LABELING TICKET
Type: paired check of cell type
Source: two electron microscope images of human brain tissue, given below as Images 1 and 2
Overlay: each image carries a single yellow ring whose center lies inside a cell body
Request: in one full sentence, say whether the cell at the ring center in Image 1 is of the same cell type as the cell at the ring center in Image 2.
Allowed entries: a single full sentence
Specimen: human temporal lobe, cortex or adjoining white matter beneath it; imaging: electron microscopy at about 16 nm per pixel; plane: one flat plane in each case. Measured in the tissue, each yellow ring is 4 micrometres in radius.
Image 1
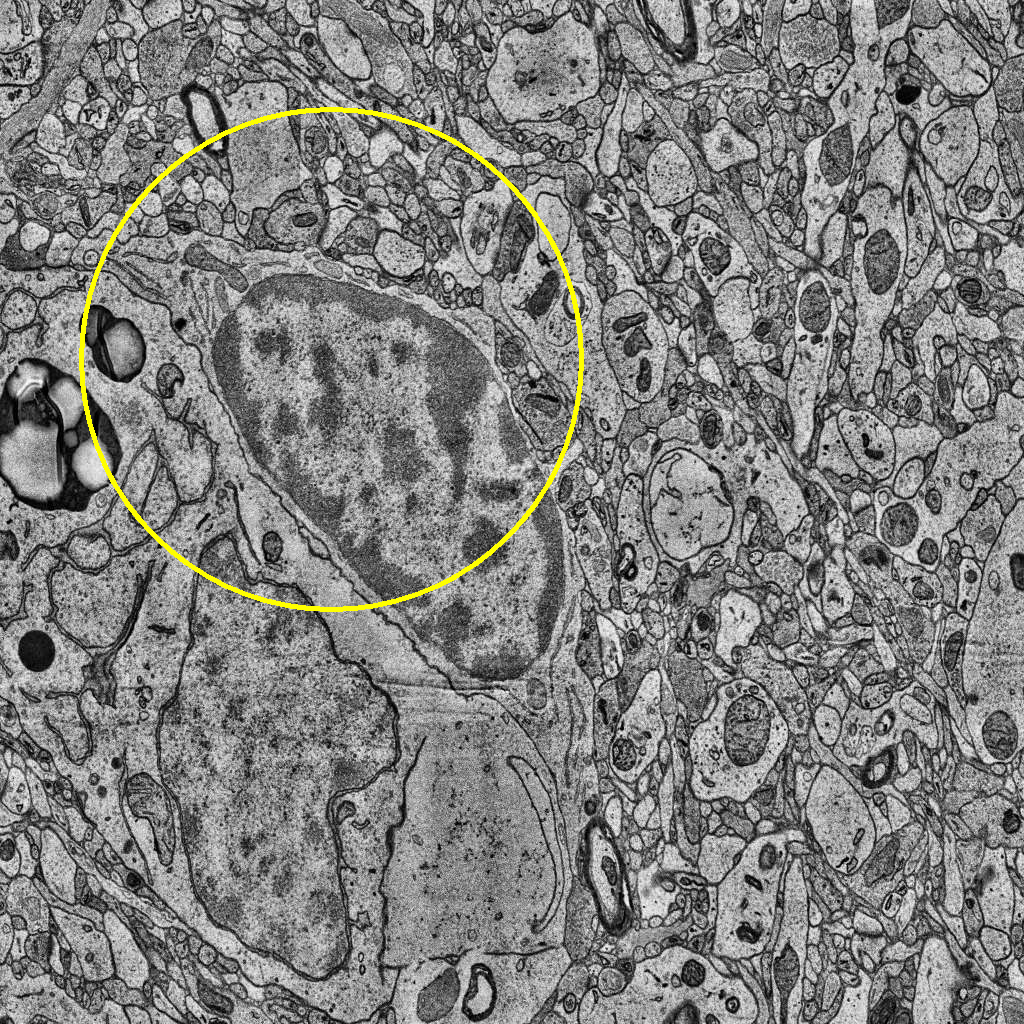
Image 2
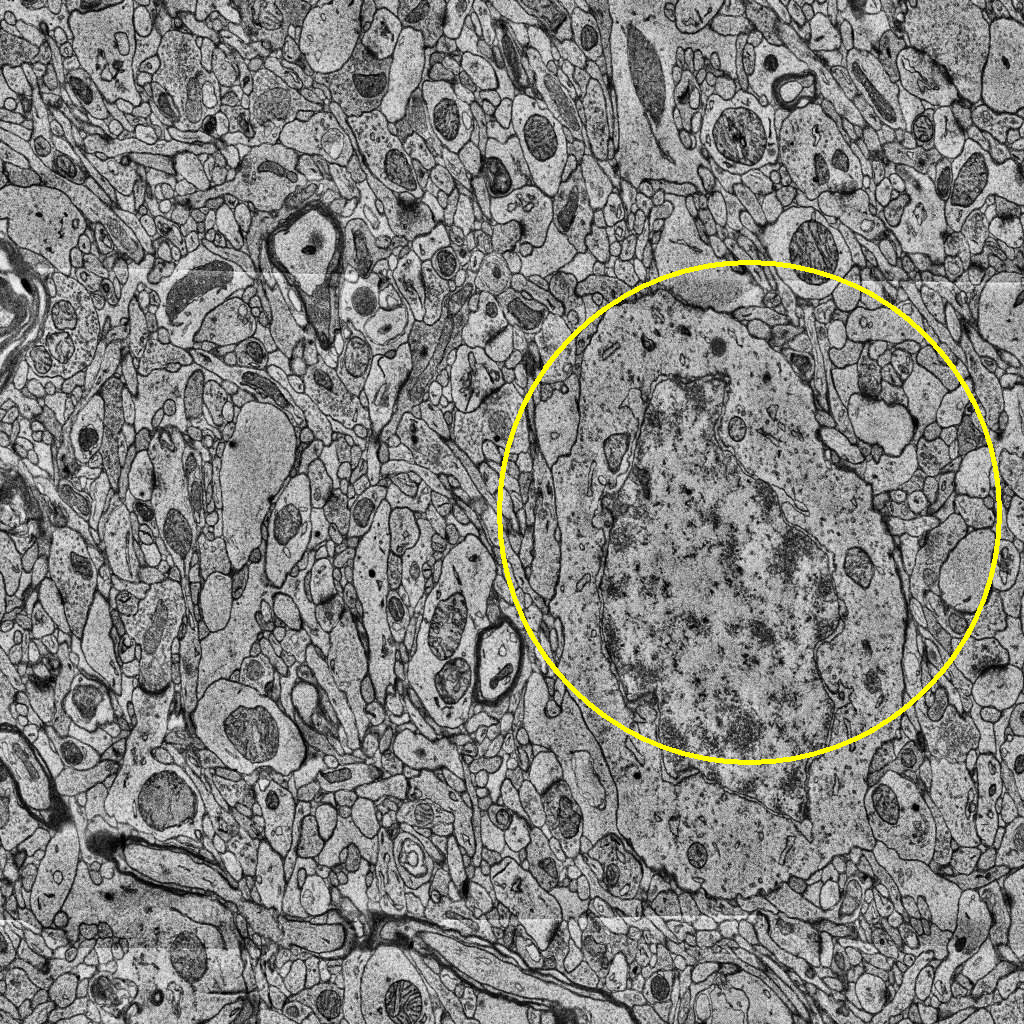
No, the cells at the ring centers of Image 1 and Image 2 are of two types.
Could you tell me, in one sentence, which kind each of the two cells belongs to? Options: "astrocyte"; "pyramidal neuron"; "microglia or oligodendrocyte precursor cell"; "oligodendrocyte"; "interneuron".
The cell in the first picture is a microglial cell or oligodendrocyte precursor cell, and the cell in the second is an interneuron.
